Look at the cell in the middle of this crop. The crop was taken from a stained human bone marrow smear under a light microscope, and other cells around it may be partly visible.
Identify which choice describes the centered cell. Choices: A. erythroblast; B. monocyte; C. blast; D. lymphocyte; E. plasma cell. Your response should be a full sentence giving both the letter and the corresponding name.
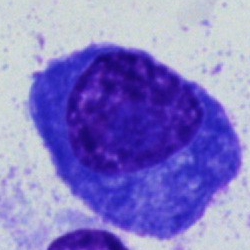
Seen at the centre of the crop is a plasma cell, so option E is correct.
